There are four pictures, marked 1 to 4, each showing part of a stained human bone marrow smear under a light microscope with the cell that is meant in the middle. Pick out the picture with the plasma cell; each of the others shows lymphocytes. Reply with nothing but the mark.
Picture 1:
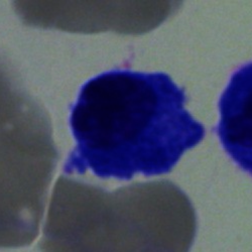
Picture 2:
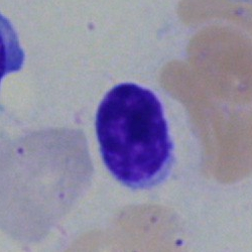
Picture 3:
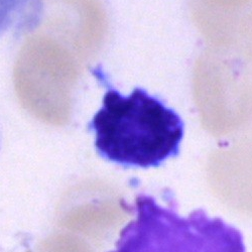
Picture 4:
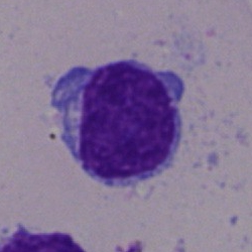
1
